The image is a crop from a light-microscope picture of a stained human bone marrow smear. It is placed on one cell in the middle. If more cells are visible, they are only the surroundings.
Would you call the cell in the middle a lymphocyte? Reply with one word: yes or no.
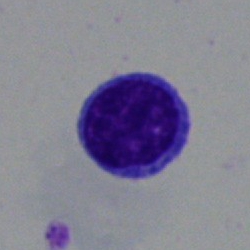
yes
